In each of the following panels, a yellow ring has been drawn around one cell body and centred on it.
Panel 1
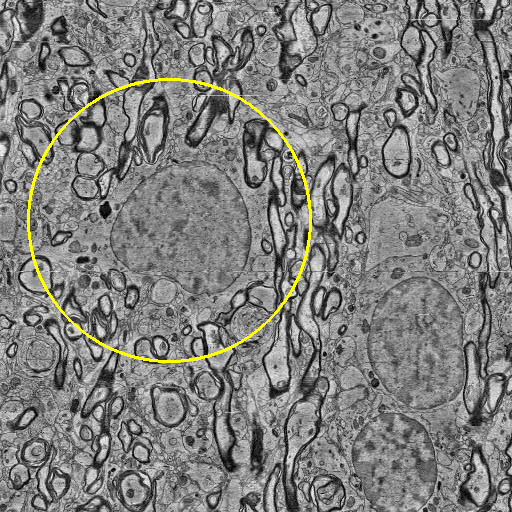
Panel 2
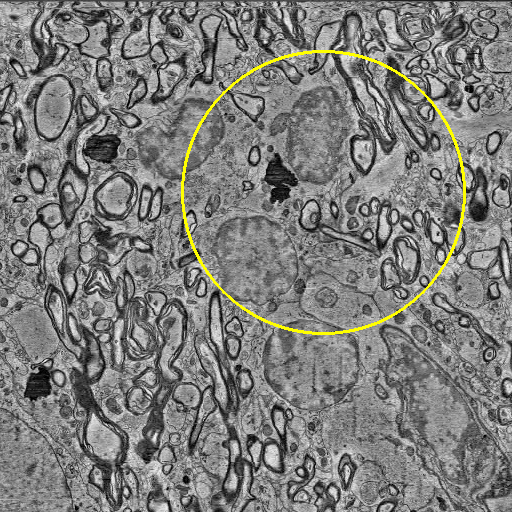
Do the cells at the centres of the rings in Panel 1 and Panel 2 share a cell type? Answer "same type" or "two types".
same type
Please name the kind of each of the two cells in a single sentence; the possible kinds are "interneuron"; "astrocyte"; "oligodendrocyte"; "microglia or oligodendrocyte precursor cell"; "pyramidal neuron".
Each of the two pictures has an oligodendrocyte at the ring centre.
